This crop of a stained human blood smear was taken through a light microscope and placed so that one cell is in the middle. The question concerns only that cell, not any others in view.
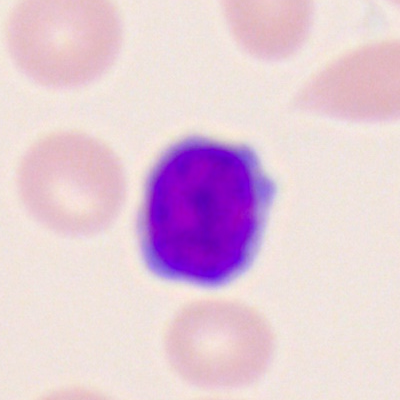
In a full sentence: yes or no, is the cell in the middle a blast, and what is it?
No, at the middle of the crop is a lymphocyte, not a blast.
